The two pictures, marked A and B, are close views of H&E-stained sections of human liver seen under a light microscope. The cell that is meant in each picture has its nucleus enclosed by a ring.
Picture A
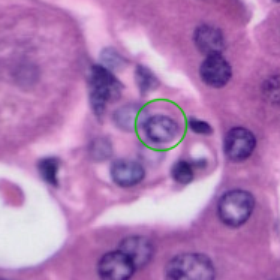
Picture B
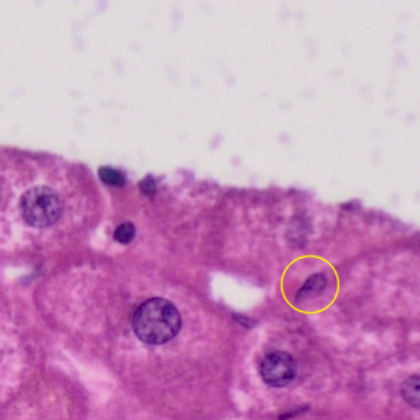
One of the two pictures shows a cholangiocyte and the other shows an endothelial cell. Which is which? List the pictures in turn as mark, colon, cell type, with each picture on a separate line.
A: cholangiocyte
B: endothelial cell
